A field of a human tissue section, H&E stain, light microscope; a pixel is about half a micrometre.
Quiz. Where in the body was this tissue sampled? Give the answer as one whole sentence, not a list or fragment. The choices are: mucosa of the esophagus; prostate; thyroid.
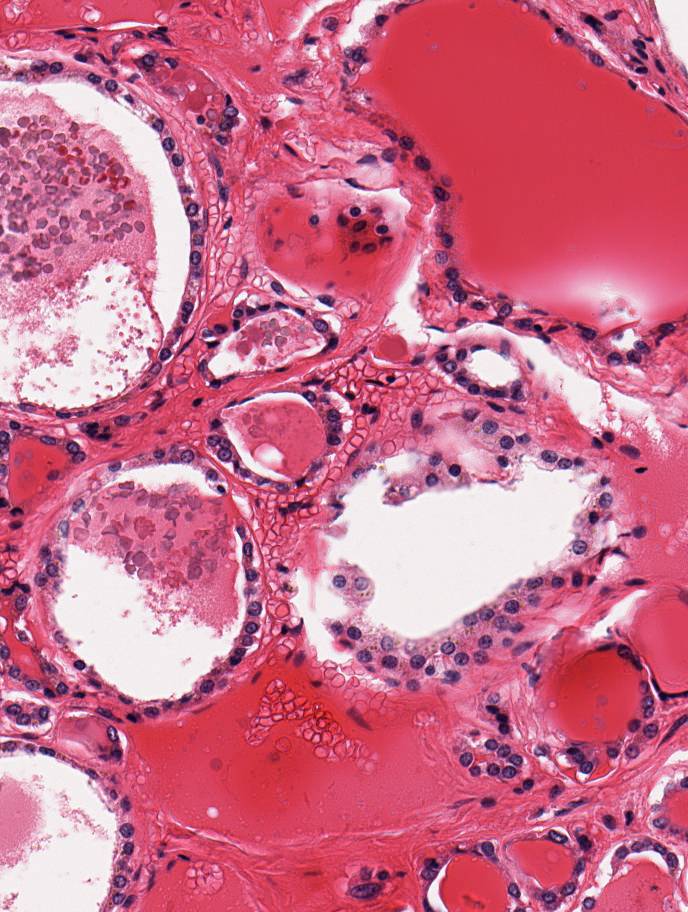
Tissue sampled from the thyroid forms this section.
